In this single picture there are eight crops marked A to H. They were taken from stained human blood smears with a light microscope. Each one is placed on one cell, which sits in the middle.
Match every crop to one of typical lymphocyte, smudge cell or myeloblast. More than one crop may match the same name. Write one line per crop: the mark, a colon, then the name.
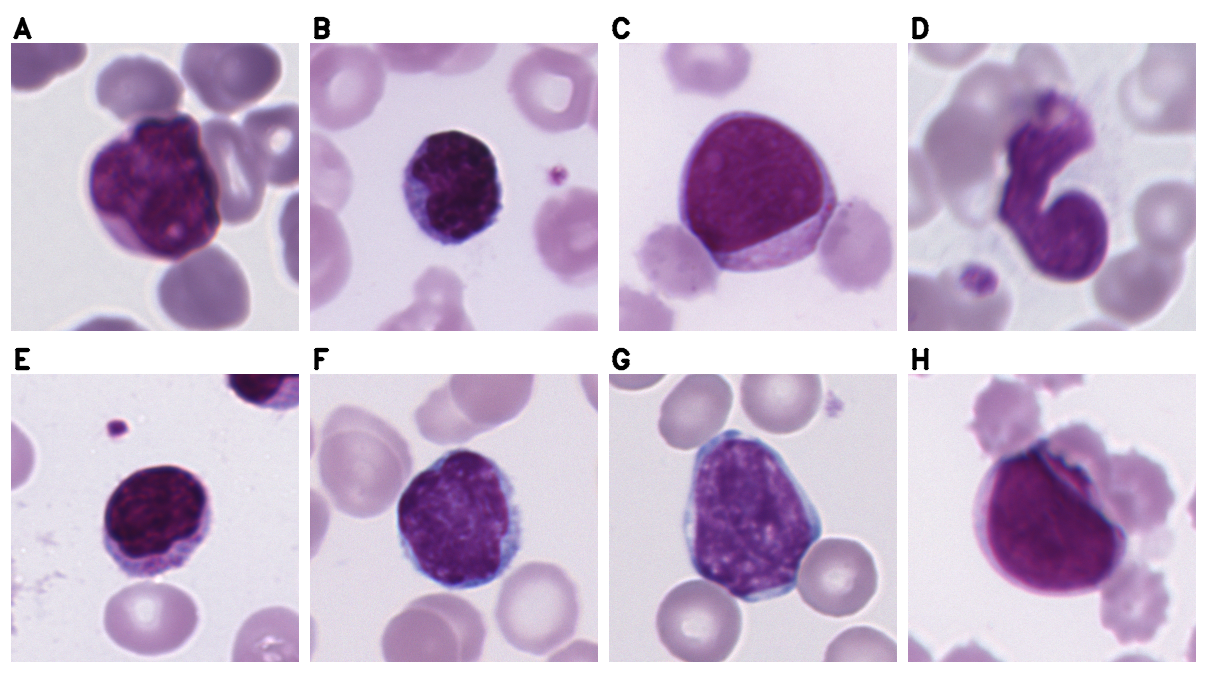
A: myeloblast
B: typical lymphocyte
C: myeloblast
D: smudge cell
E: typical lymphocyte
F: typical lymphocyte
G: myeloblast
H: myeloblast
